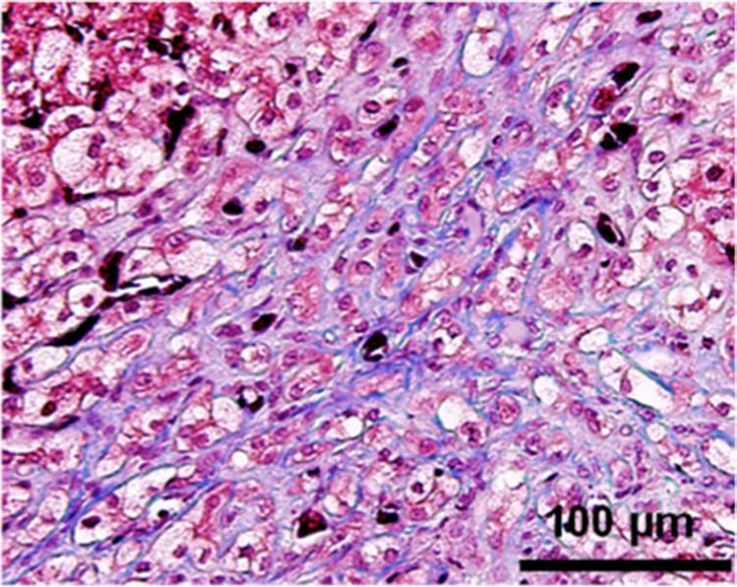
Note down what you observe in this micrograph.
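Liver in which many hepatocytes are swollen and rounded, with pale, clear, rarefied cytoplasm and roundish purple nuclei. Delicate blue collagen strands run between the hepatocytes in a network that encircles small groups of cells. Scattered irregular black deposits lie among the cells.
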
